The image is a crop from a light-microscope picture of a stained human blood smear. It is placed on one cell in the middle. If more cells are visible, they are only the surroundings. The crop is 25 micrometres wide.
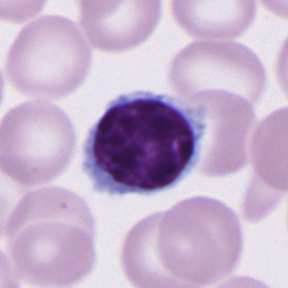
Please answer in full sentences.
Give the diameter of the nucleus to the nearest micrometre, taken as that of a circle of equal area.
It measures about 8 micrometres across.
